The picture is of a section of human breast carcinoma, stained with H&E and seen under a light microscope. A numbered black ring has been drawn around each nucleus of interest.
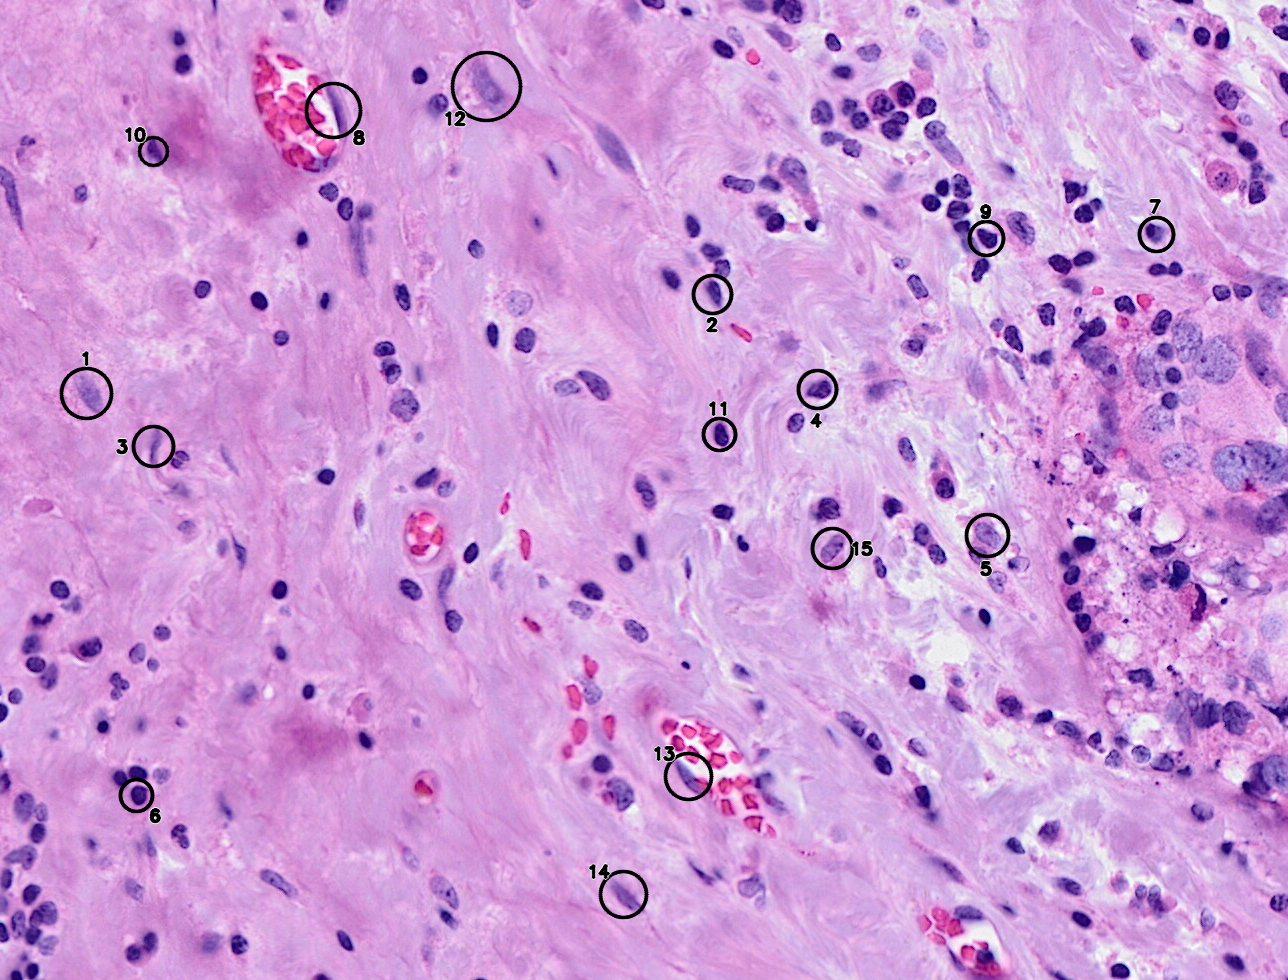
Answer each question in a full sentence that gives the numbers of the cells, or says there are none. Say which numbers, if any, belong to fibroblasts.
The cells referred to by the numbers 1, 3, 10, 12 and 14 are fibroblasts.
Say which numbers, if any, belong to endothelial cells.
The cells with numbers 8 and 13 are endothelial cells by type.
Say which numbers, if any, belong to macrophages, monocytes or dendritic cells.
In this section, the cells numbered 5 and 15 are macrophages, monocytes or dendritic cells.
